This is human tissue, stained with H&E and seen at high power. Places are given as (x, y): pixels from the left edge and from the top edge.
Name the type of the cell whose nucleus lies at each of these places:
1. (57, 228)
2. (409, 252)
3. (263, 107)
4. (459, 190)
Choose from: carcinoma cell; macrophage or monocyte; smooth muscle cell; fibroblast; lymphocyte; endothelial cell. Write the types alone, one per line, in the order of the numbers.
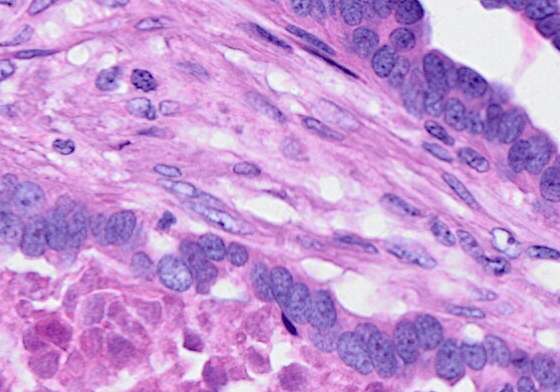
carcinoma cell
fibroblast
fibroblast
fibroblast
